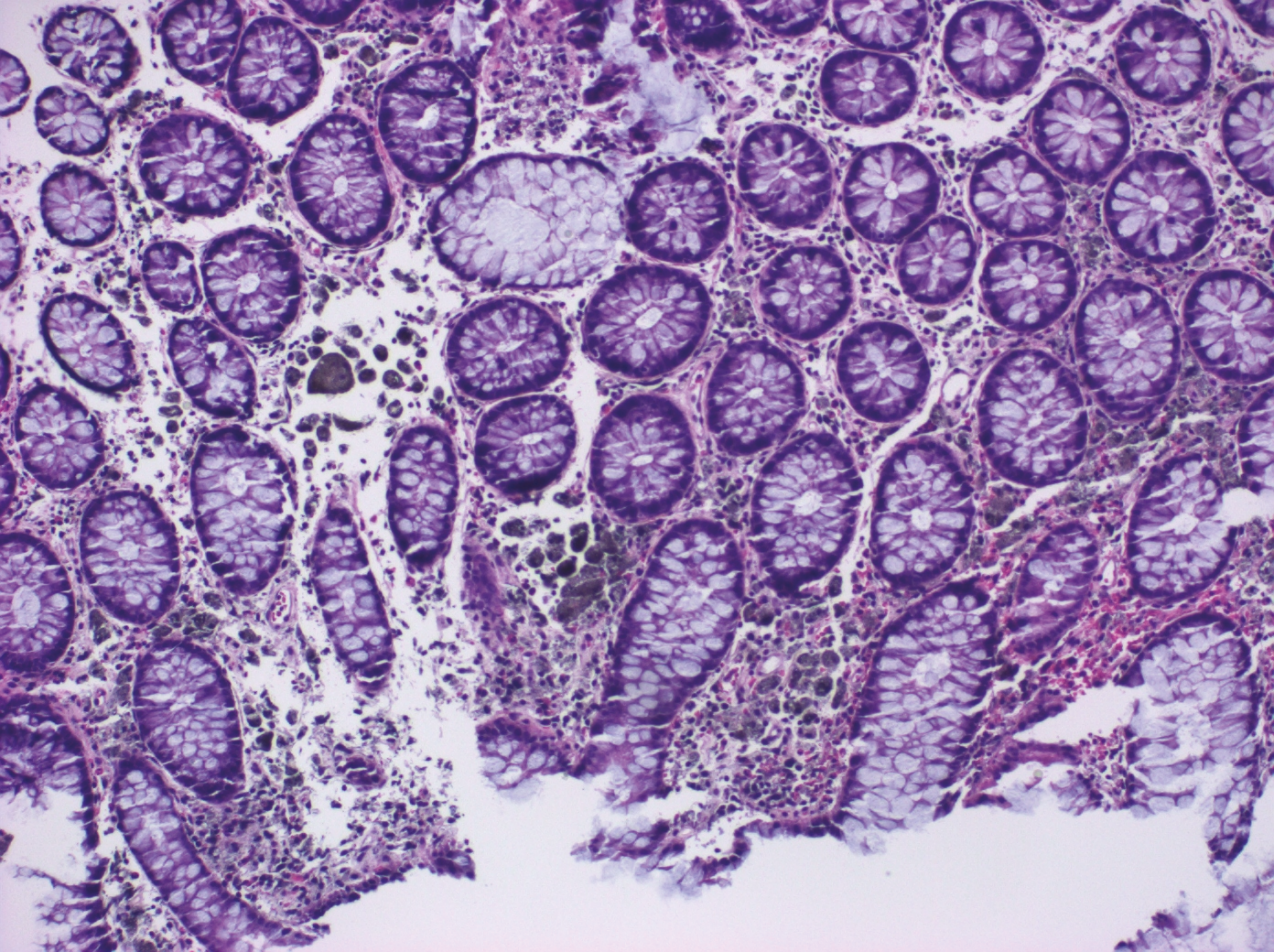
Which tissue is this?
Colonic mucosa.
